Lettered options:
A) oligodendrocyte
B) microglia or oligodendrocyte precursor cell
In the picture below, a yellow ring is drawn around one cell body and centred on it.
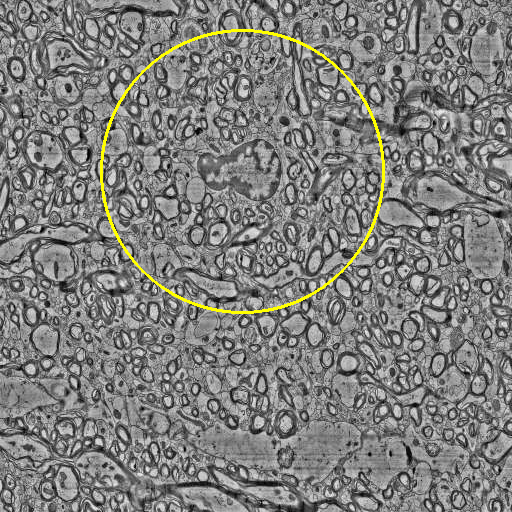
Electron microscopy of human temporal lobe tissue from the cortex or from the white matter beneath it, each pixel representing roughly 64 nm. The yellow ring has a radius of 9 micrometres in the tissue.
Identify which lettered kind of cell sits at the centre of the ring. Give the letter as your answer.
B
